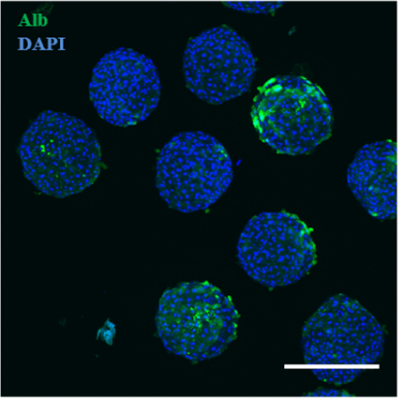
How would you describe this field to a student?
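Hepatocyte spheroids: separate, round, compact aggregates of similar size, each packed with many small round blue nuclei. Green staining is faint over most aggregates and stronger in patches at the rim of a few.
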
